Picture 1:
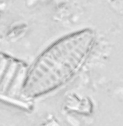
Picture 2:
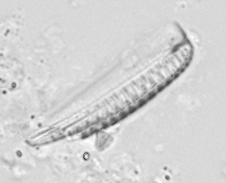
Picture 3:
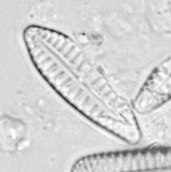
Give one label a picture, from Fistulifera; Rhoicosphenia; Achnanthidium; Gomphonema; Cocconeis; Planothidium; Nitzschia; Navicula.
Picture 1: Planothidium
Picture 2: Rhoicosphenia
Picture 3: Gomphonema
